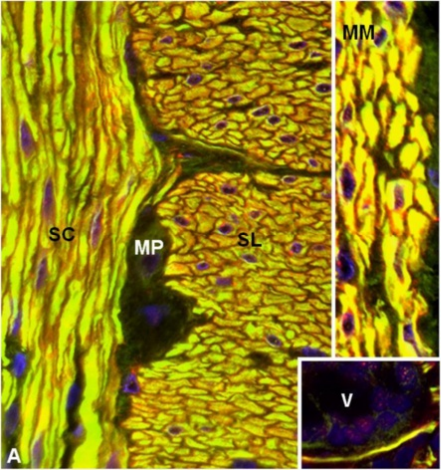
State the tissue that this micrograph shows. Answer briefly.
tunica muscularis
